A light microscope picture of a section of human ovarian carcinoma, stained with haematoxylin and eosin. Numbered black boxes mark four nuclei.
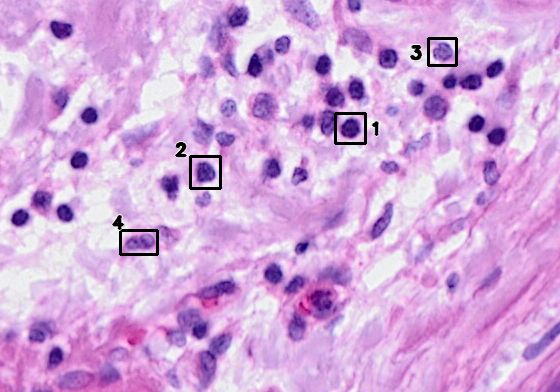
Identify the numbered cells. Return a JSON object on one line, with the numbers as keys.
{"1": "lymphocyte", "2": "lymphocyte", "3": "lymphocyte", "4": "macrophage or monocyte"}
